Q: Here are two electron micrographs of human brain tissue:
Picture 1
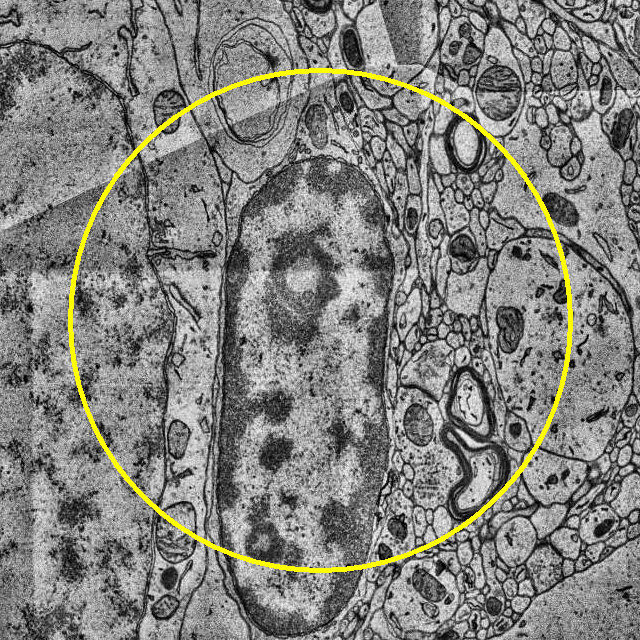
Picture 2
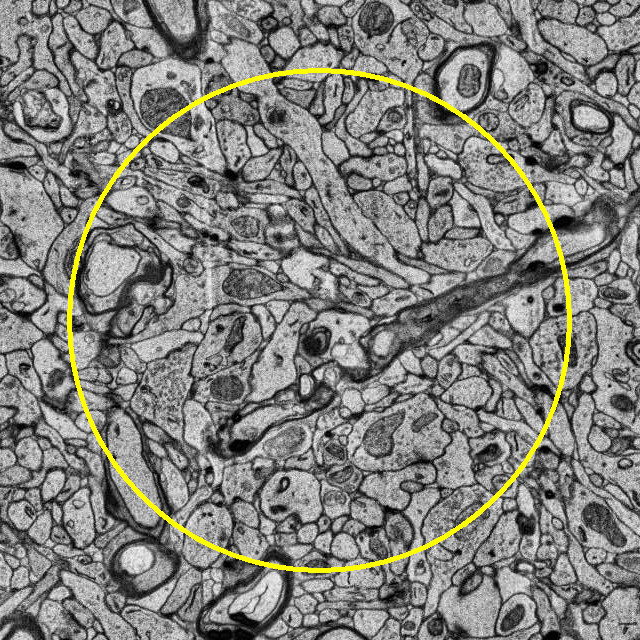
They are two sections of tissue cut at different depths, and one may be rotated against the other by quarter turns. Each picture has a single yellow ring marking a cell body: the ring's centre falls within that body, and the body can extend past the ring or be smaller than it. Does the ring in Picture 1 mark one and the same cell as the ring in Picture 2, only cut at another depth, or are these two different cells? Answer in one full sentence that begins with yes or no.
No, the two rings enclose two cells that are not the same.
